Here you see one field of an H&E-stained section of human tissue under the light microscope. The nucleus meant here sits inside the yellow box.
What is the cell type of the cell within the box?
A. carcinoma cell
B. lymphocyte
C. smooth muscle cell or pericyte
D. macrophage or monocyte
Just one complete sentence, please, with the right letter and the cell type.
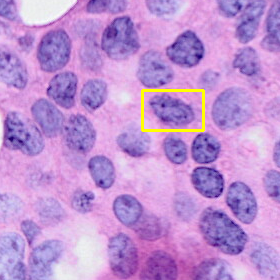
It is option A that is correct, the cell within the box being a carcinoma cell.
